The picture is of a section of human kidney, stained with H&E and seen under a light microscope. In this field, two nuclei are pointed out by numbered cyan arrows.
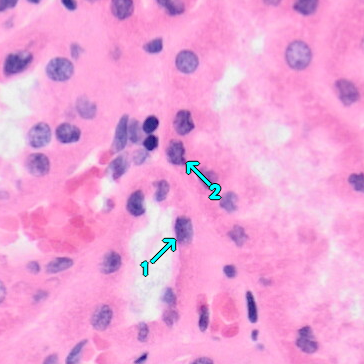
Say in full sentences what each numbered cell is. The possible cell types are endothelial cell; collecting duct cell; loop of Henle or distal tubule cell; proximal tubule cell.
Cell 1 is a loop of Henle or distal tubule cell. Cell 2 is a proximal tubule cell.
